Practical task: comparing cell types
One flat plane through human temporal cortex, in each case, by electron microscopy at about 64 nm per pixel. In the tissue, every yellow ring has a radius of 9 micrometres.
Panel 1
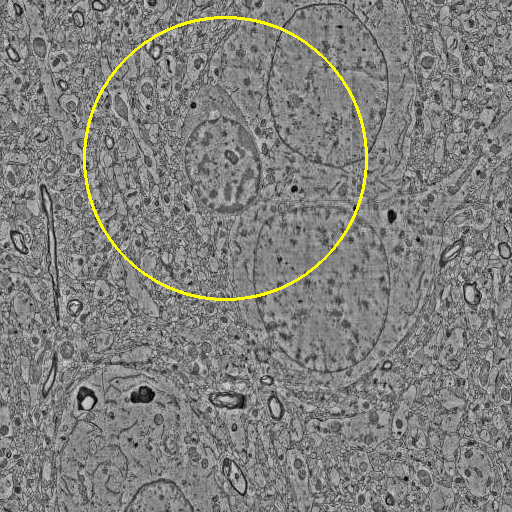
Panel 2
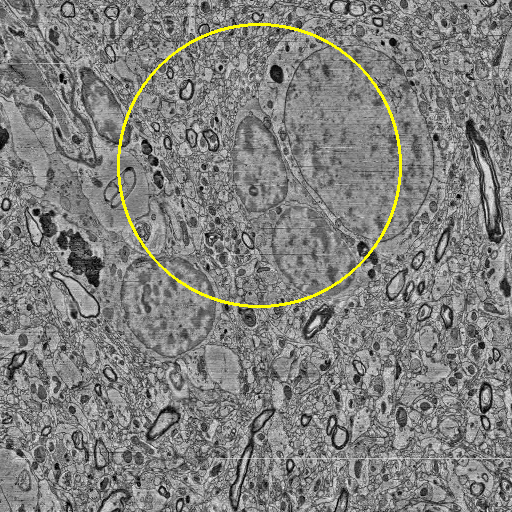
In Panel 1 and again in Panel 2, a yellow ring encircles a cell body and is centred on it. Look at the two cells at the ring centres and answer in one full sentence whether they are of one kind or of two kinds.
The two cells sitting at the ring centres of Panels 1 and 2 are of one kind.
